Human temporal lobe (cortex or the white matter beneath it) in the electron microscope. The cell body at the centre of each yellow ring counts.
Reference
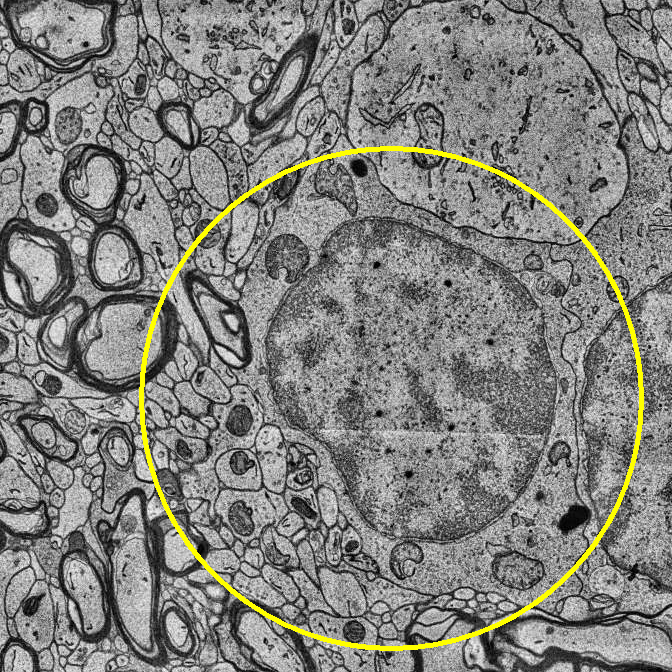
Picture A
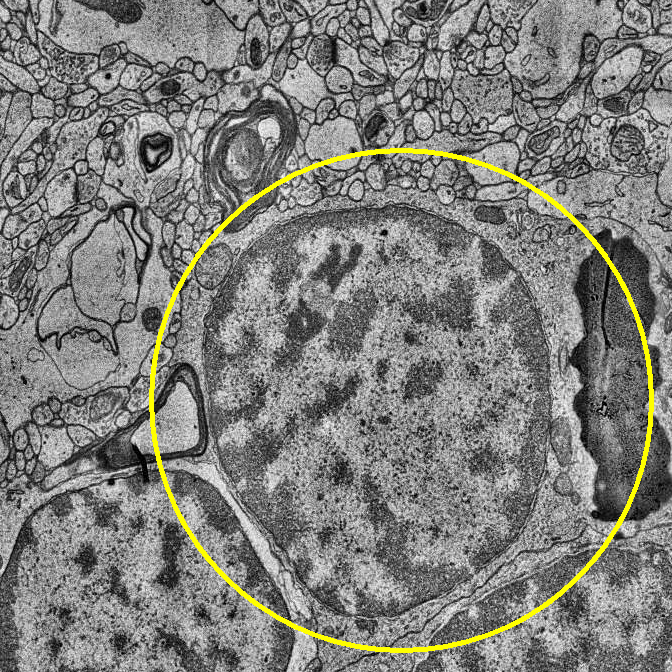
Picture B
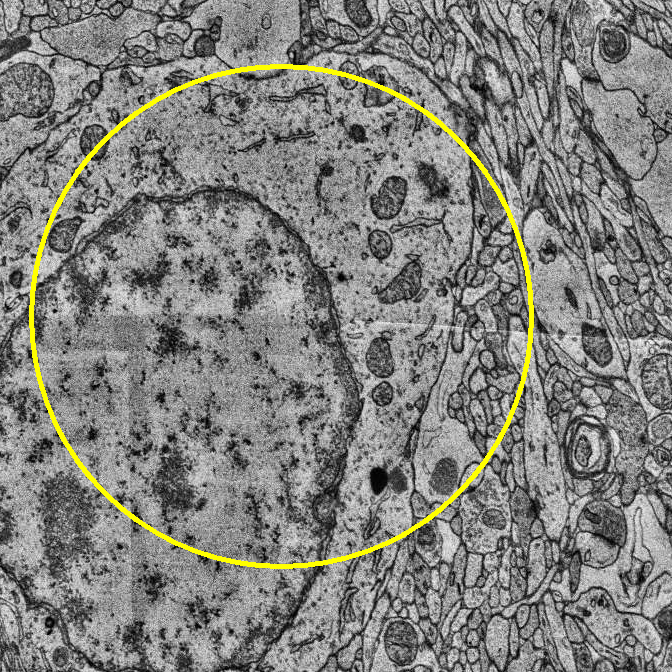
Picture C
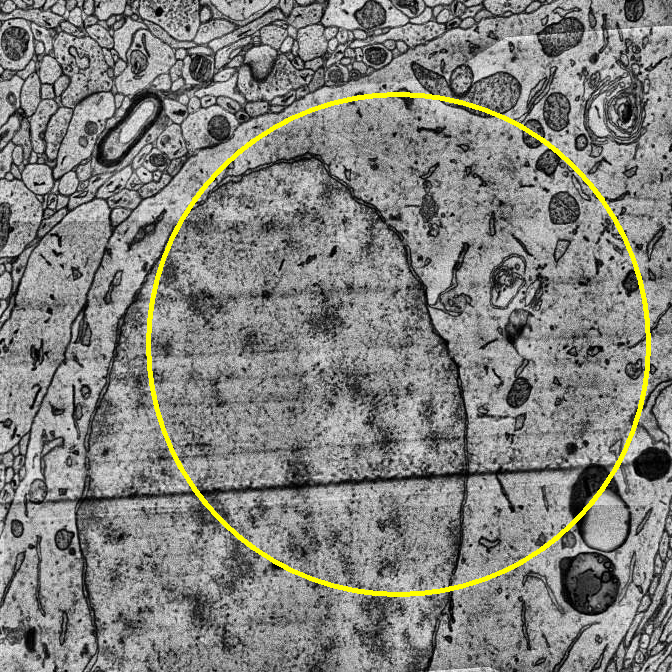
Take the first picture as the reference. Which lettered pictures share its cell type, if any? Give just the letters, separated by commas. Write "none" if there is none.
A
